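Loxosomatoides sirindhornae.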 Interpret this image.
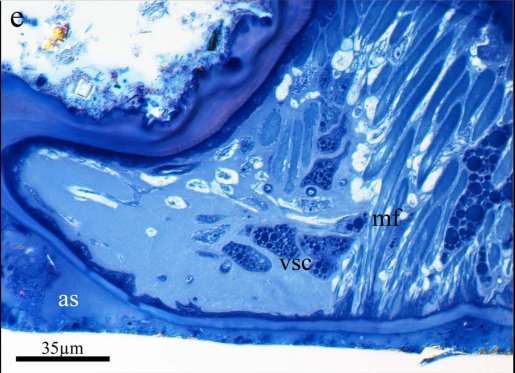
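The base of the stalk is shown, with long muscle fibres running obliquely up towards the right and anchoring on the thick, dark blue cuticle above the attachment site. Among the fibres lie mesenchymatous cells packed with many round, deeply blue-stained vesicles. Elsewhere pale, clear vacuole-like spaces lie within a lightly stained matrix. The cuticle forms a dense, curved layer enclosing the base.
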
